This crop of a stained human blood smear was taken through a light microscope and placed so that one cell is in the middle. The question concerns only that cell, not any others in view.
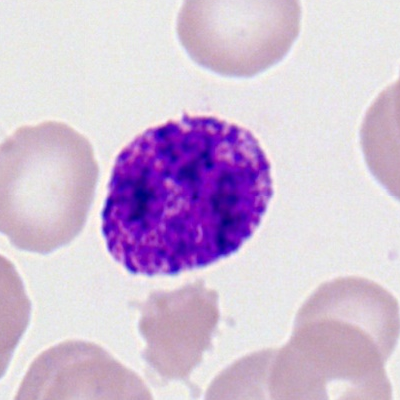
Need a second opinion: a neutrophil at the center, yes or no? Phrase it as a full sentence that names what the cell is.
No, it is not a neutrophil that lies in the middle but a basophil.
